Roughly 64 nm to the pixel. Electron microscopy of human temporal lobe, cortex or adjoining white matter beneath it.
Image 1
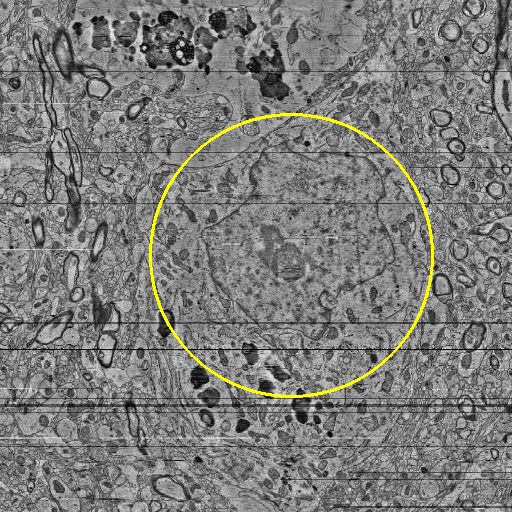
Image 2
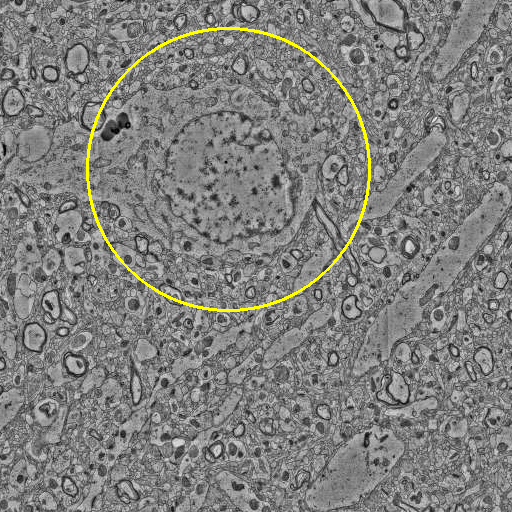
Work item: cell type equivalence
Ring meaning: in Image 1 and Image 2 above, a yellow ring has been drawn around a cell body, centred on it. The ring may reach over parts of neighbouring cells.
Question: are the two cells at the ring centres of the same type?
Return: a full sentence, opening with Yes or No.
Yes, the two centred cells are of the same type.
